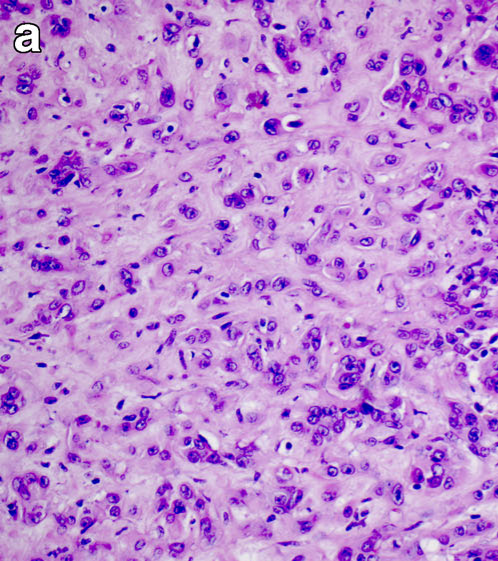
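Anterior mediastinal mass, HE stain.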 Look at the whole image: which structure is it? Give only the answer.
Myxo-collagenous matrix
